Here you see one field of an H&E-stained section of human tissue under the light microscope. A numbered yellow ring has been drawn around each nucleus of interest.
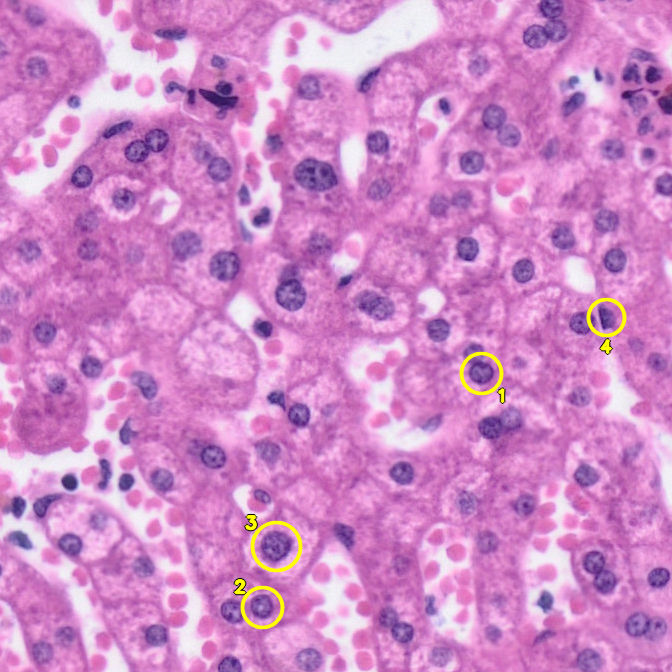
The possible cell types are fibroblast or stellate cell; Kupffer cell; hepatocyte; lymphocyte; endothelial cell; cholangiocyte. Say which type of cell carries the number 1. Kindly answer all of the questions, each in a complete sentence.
The cell identified by number 1 is a hepatocyte.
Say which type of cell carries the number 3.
The marked cell with the number 3 is recognised as a hepatocyte.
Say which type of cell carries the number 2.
The nucleus marked 2 is the nucleus of a hepatocyte.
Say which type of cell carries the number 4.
Among the marked nuclei, number 4 belongs to a fibroblast or stellate cell.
